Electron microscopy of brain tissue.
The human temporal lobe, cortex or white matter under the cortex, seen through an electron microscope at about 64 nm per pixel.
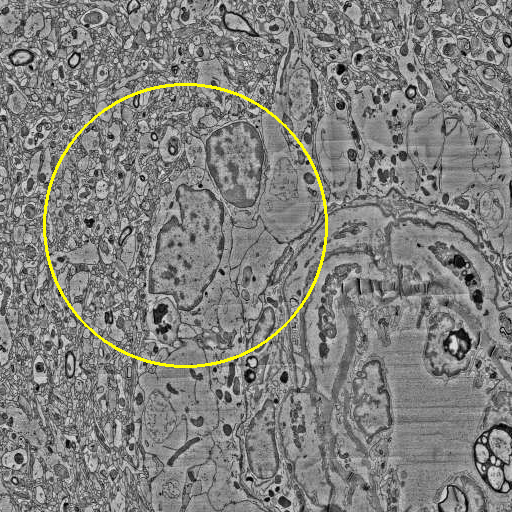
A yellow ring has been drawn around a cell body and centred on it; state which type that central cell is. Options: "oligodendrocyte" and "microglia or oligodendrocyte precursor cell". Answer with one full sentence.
The cell at the middle of the yellow ring is a microglial cell or oligodendrocyte precursor cell in this picture.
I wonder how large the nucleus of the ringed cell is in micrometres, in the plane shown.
The nucleus measures about 8 by 4 micrometres in this plane.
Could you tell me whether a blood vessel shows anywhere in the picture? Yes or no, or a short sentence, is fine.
Yes, one shows.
